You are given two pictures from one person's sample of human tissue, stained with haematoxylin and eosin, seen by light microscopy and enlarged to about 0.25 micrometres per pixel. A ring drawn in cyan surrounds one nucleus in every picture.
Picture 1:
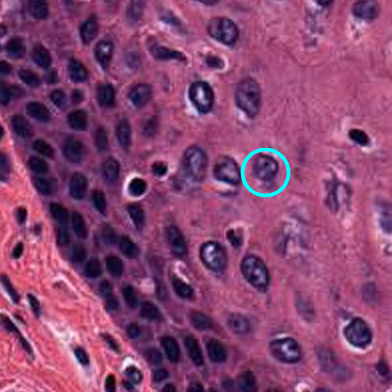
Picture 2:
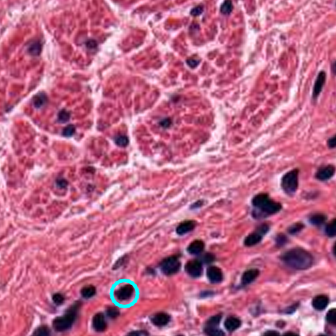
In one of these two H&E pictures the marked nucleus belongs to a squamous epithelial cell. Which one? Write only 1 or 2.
1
